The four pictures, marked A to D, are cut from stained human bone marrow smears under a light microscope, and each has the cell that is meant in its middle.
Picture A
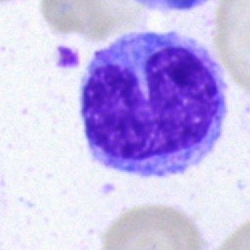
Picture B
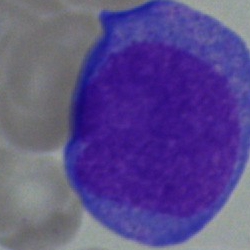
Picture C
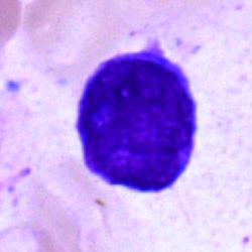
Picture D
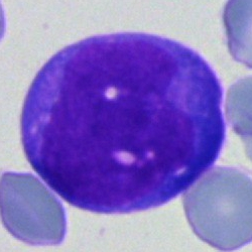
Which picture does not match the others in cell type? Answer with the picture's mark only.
A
